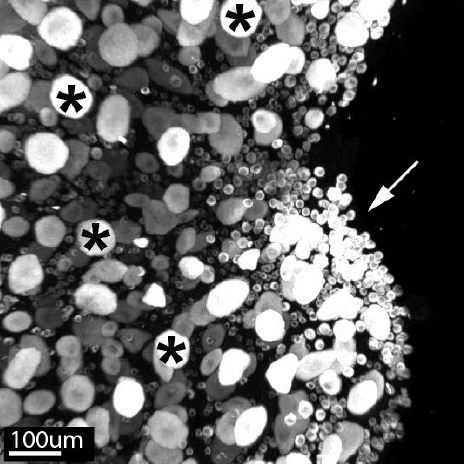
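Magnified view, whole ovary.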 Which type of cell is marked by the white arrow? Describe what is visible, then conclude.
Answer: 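Primordial oocytes. The arrow points to a dense cluster of many small round cells at the ovary's edge. These cells are much smaller than the large bright cells inside.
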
